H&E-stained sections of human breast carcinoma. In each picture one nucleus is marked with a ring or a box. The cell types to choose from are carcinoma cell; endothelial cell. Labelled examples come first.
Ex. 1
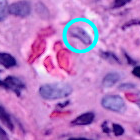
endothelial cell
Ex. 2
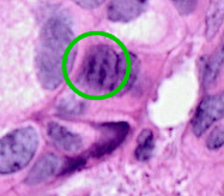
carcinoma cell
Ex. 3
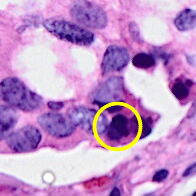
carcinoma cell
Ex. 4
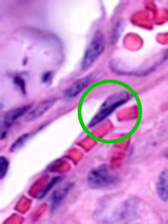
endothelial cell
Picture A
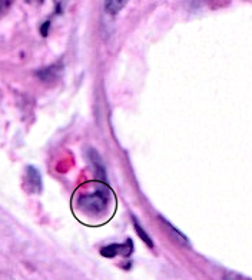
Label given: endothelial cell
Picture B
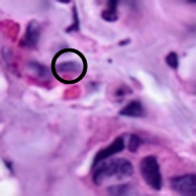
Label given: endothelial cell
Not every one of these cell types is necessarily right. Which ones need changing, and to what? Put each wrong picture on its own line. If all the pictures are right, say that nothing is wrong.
All correct.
